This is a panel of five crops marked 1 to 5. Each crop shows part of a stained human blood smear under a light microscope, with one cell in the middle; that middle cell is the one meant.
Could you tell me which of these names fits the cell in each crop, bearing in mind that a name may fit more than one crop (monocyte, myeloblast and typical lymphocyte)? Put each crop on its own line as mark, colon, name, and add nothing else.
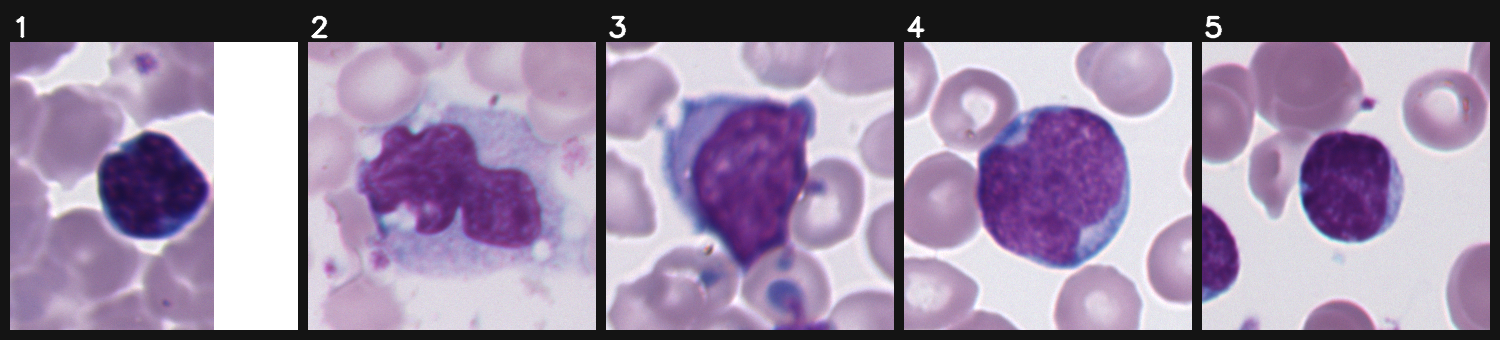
1: typical lymphocyte
2: monocyte
3: myeloblast
4: myeloblast
5: typical lymphocyte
